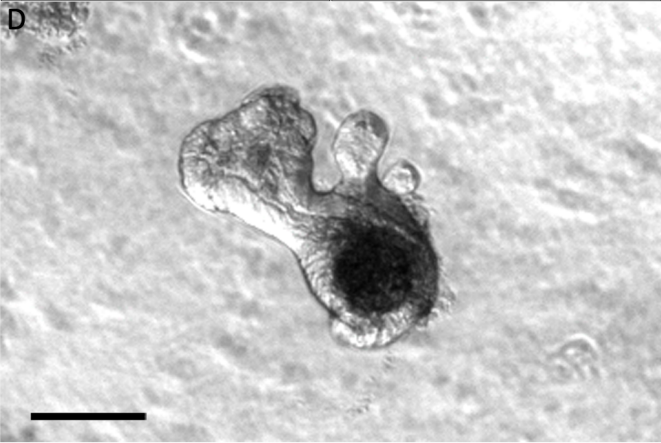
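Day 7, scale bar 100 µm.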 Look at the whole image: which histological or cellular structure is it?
Enteroid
